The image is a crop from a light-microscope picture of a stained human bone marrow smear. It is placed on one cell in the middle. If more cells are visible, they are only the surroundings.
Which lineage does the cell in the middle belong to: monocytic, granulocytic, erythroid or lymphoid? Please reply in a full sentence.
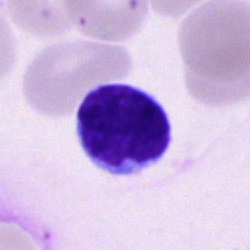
With respect to lineage, the middle cell falls within the lymphoid lineage.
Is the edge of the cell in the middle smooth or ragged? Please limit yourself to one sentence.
A smooth, projection-free outline is what this cell has.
